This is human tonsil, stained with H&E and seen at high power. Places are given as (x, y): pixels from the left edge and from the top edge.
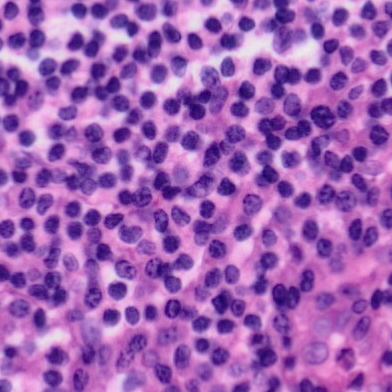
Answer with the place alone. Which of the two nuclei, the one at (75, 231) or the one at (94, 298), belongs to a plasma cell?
(94, 298)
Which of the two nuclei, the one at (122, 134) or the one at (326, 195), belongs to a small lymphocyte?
(122, 134)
